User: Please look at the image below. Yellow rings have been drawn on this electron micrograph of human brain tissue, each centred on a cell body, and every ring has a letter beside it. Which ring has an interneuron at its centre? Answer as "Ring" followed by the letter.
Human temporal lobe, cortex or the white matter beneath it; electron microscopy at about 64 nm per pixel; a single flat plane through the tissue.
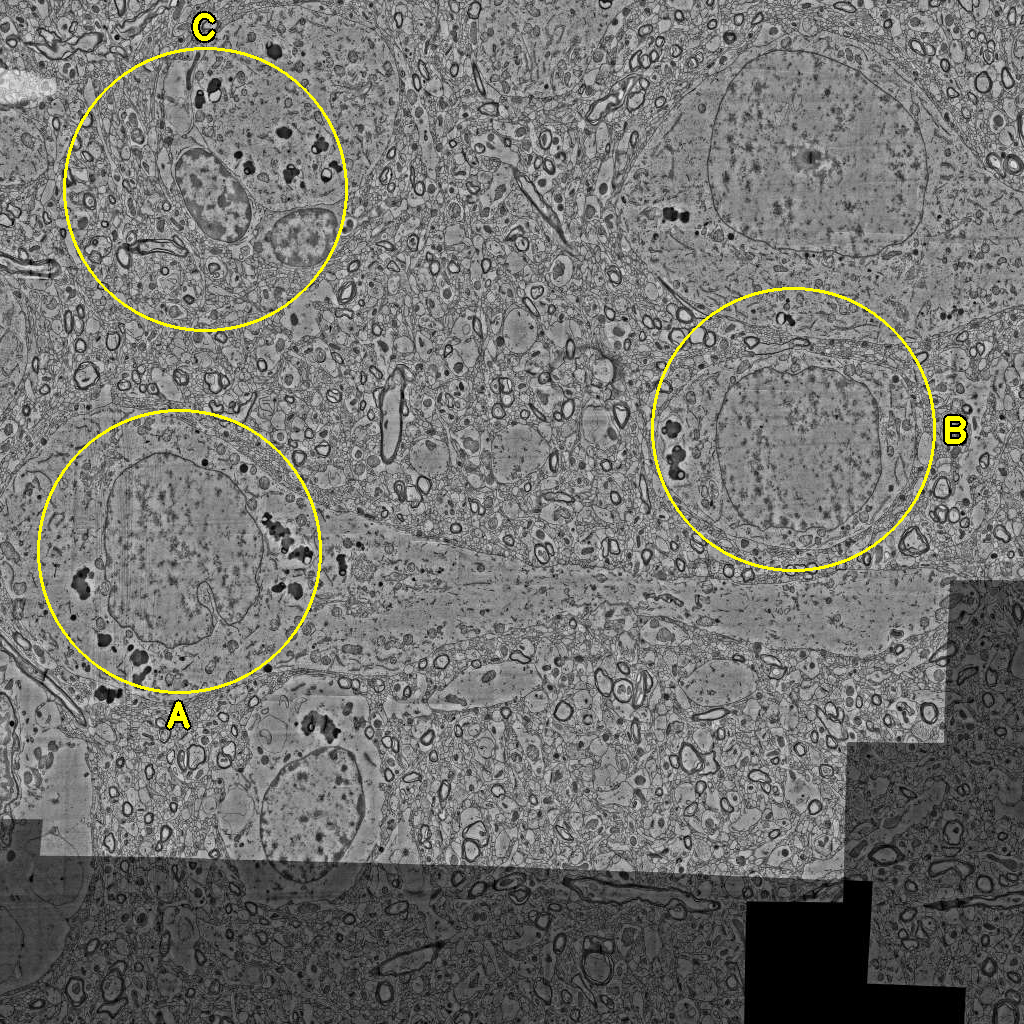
Ring B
